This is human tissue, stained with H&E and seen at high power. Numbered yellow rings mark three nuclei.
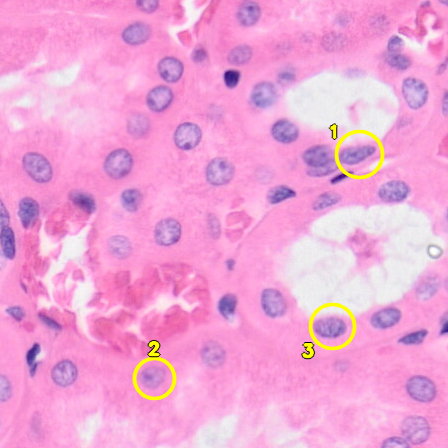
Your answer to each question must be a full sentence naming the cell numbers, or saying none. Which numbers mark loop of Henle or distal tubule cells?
Cell 3 is the one numbered cell that is a loop of Henle or distal tubule cell.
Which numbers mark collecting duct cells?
Among the cells marked with numbers, the only one that is a collecting duct cell is number 1.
